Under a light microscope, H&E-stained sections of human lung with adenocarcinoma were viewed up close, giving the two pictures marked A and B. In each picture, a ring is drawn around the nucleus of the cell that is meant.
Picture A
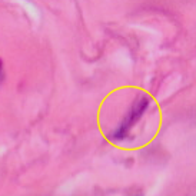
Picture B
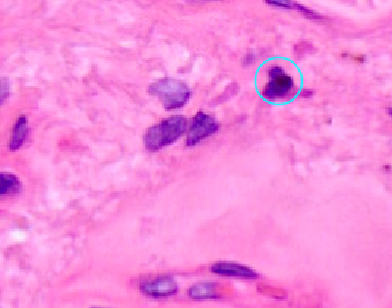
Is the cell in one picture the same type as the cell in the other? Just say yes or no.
no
